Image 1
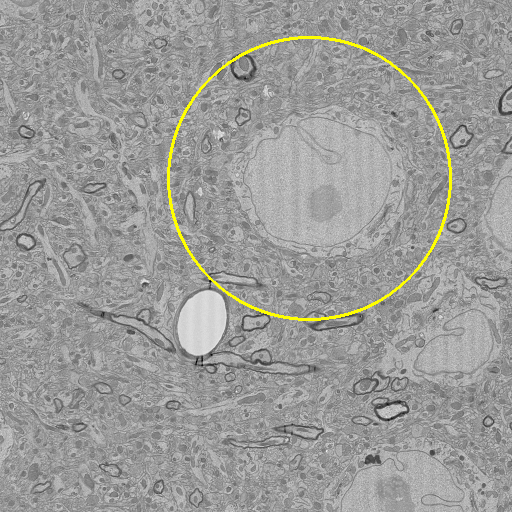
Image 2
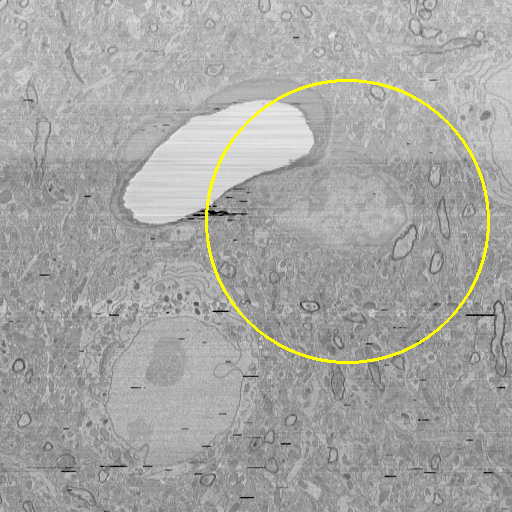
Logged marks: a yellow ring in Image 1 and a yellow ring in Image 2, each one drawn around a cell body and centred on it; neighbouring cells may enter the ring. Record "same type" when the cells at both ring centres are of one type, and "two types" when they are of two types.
two types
